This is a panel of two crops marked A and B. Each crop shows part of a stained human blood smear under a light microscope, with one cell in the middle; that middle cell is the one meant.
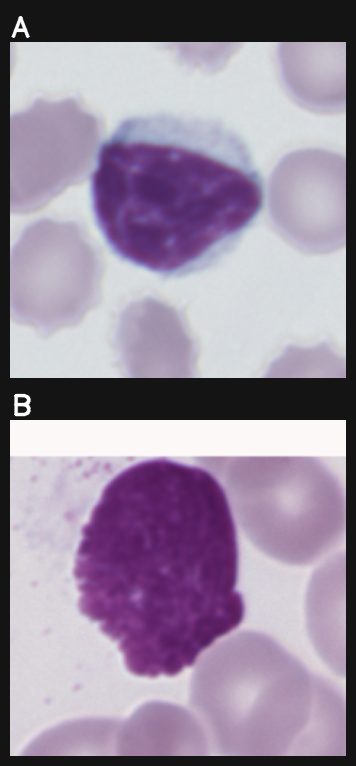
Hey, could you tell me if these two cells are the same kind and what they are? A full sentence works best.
No, a typical lymphocyte is the cell in crop A; a smudge cell is the cell in crop B.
